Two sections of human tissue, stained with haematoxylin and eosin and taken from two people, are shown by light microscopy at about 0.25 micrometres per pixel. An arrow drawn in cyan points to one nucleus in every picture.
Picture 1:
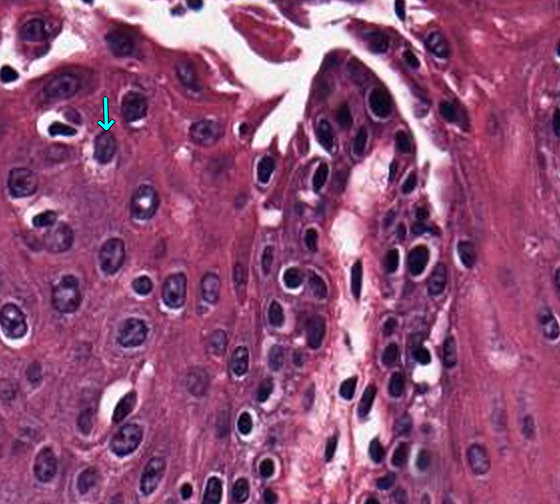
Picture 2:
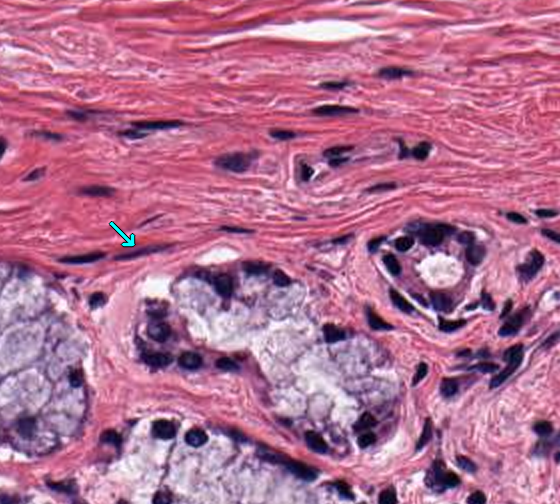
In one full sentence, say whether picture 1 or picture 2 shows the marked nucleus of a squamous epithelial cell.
In picture 1, the marked nucleus is one belonging to a squamous epithelial cell.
